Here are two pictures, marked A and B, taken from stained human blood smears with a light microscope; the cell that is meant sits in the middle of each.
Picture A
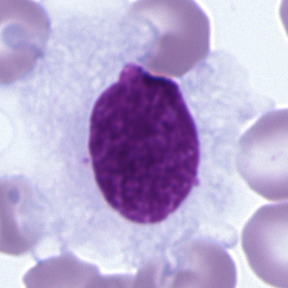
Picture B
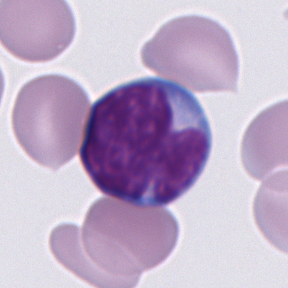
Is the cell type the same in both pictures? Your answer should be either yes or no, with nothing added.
no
